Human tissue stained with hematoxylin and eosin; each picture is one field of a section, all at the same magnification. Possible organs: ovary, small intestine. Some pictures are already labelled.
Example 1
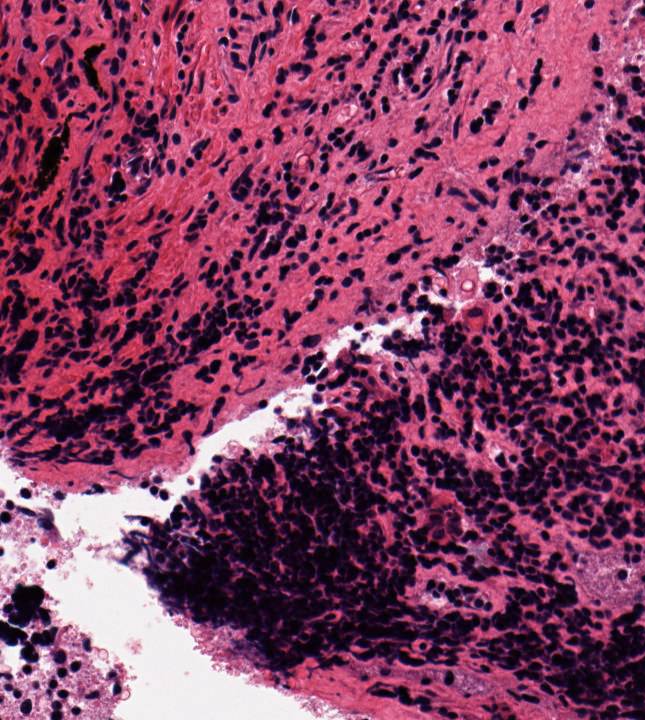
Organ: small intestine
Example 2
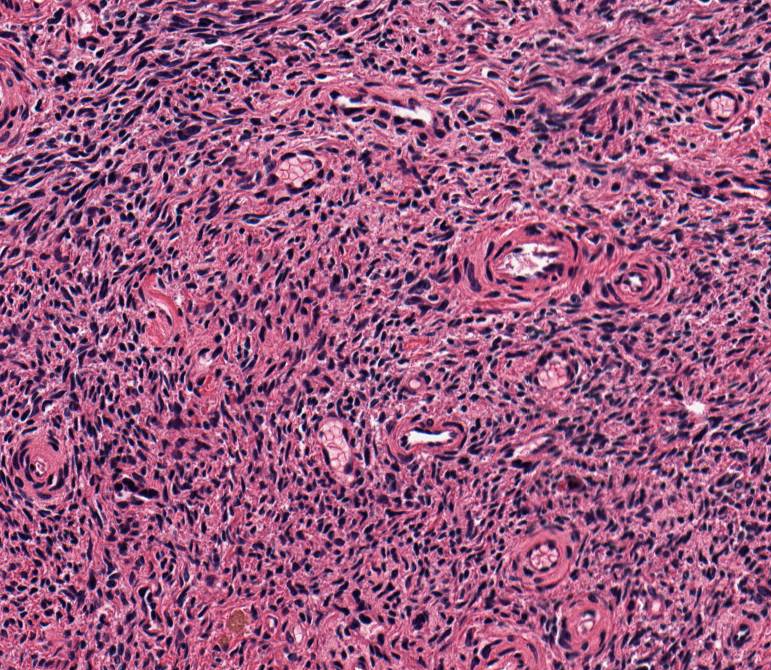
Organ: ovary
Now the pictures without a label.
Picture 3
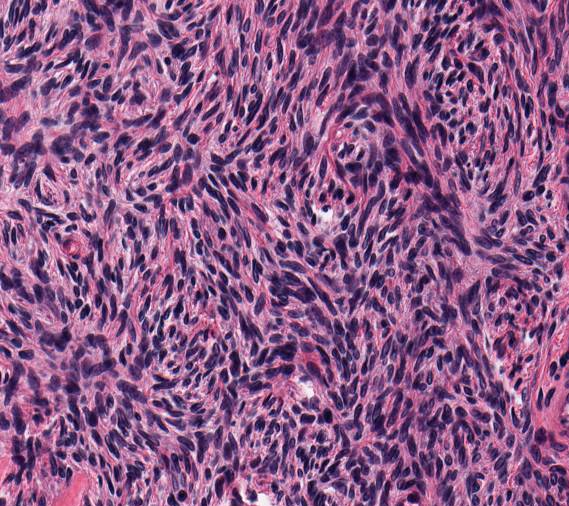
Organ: ovary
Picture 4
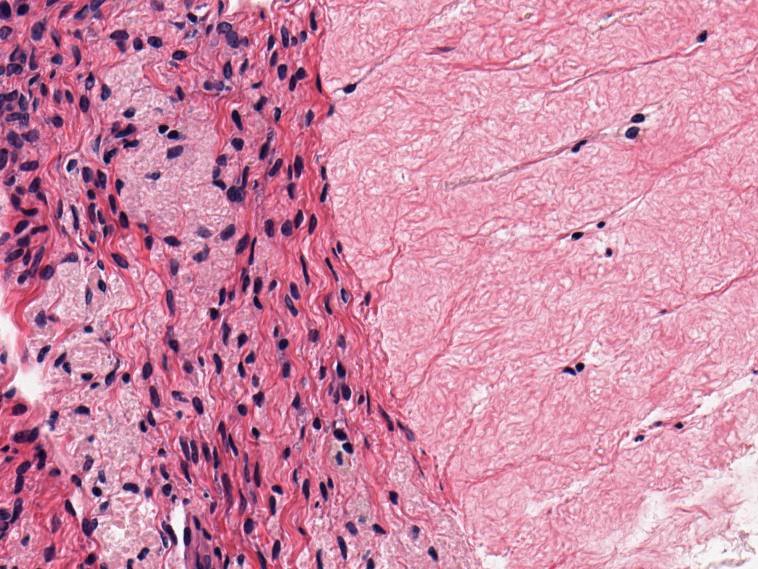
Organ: ovary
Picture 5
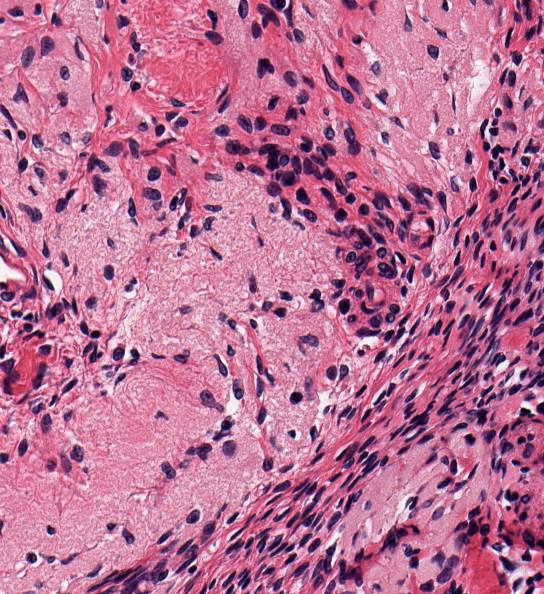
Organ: ovary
